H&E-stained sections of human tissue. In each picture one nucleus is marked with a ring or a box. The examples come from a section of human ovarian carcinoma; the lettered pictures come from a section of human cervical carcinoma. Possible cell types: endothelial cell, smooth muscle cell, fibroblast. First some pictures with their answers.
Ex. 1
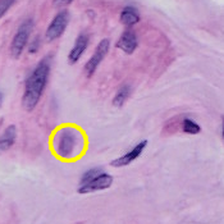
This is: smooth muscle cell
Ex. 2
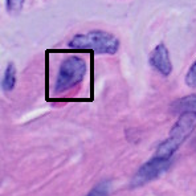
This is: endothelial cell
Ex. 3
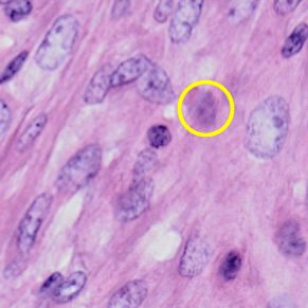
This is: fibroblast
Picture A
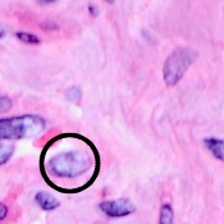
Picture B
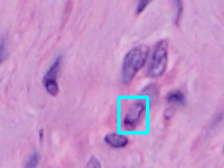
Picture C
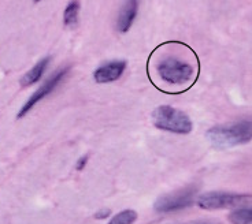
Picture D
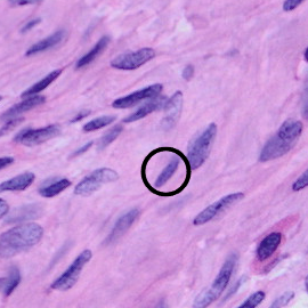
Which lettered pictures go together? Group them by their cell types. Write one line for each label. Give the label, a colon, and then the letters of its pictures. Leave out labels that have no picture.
endothelial cell: A, B
fibroblast: C, D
